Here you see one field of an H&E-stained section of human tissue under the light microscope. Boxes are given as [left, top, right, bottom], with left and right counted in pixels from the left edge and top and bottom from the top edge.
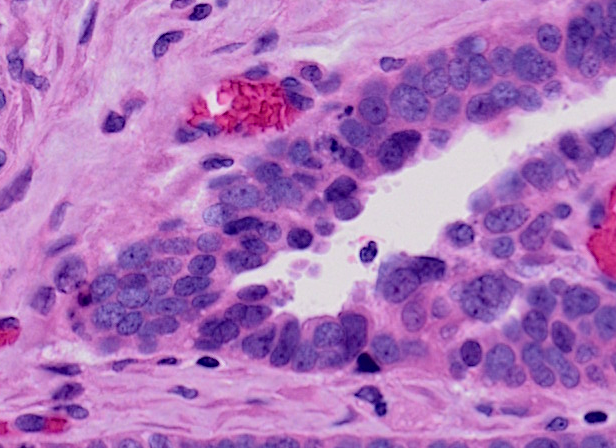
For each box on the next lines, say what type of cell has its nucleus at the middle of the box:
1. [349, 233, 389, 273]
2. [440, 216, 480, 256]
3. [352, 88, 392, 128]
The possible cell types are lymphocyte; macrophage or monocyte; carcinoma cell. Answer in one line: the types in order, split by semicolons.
lymphocyte; macrophage or monocyte; carcinoma cell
